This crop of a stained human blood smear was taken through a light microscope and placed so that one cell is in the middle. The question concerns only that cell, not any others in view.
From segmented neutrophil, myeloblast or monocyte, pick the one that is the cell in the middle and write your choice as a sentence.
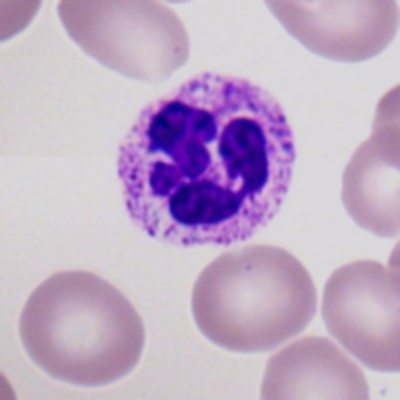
The cell positioned in the middle of the field is a segmented neutrophil.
